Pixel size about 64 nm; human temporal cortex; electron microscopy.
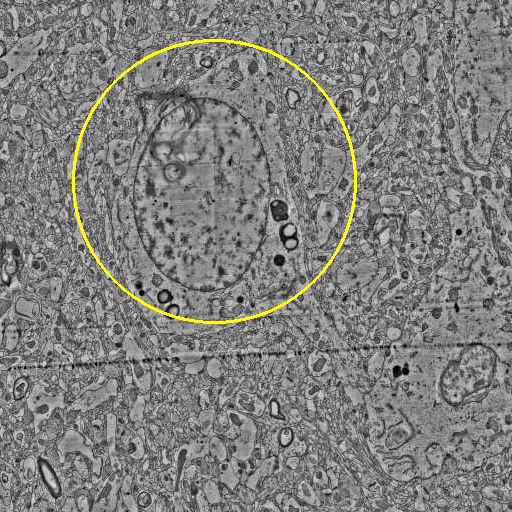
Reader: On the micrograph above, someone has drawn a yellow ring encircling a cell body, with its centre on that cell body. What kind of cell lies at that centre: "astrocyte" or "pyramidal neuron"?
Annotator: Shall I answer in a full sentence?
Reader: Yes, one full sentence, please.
Here a pyramidal neuron sits at the centre of the yellow ring drawn on the micrograph.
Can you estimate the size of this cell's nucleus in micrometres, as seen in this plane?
In this plane the nucleus measures roughly 12 by 9 micrometres.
